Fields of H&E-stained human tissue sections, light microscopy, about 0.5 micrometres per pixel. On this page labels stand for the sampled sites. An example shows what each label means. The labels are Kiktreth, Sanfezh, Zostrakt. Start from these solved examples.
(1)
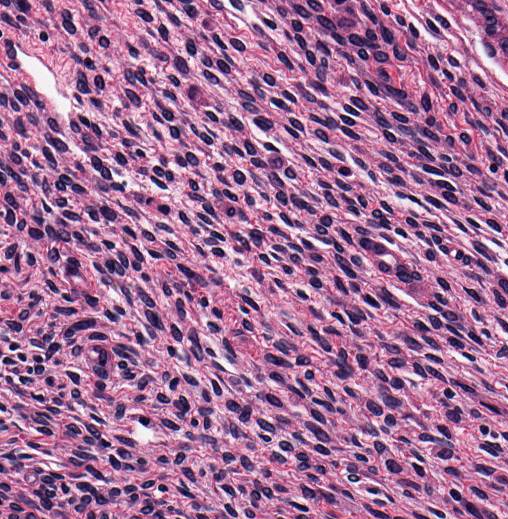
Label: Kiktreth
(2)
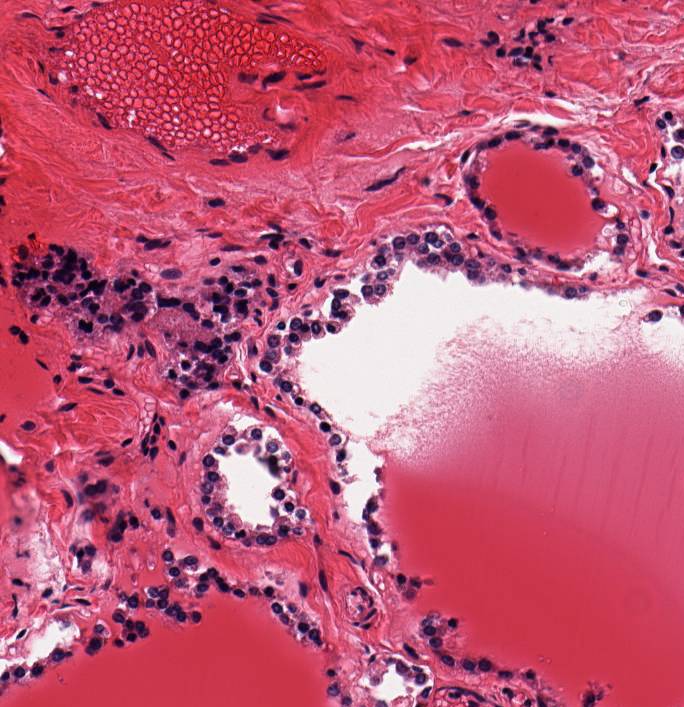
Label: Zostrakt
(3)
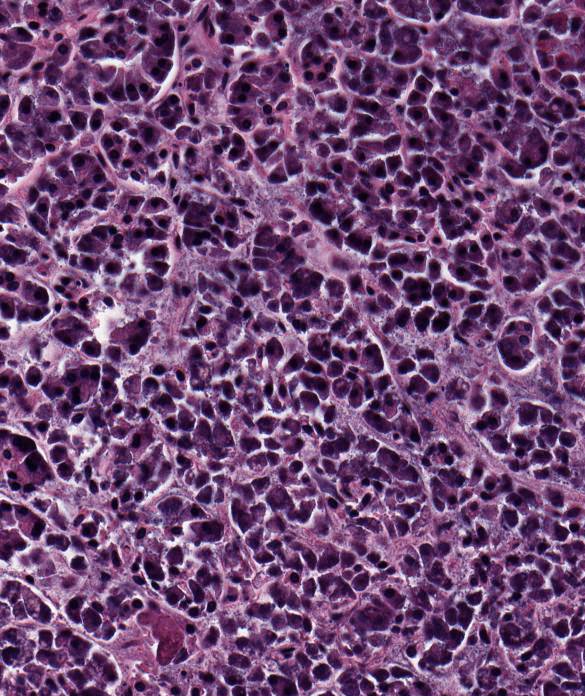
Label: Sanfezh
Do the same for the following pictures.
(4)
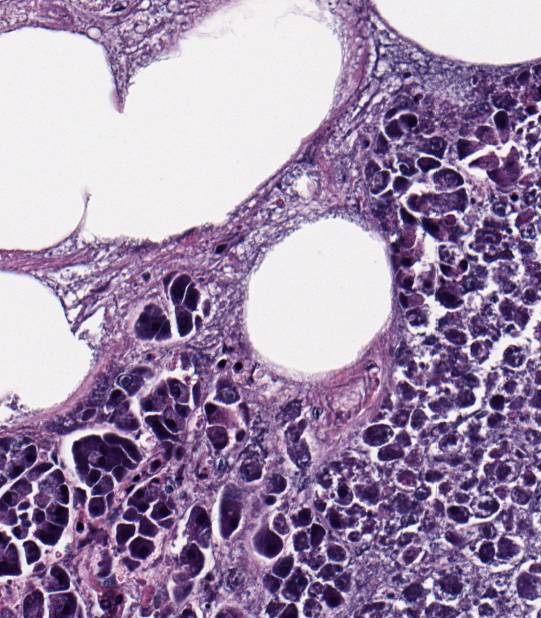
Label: Sanfezh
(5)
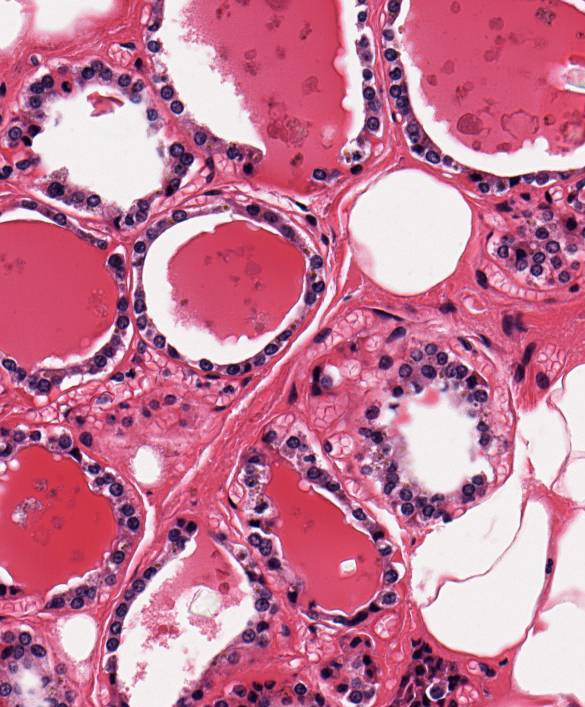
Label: Zostrakt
